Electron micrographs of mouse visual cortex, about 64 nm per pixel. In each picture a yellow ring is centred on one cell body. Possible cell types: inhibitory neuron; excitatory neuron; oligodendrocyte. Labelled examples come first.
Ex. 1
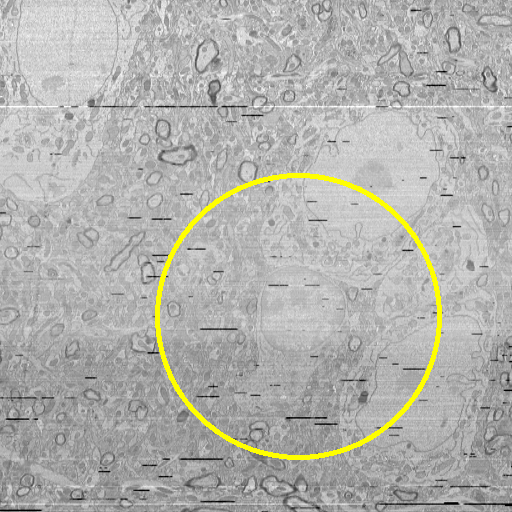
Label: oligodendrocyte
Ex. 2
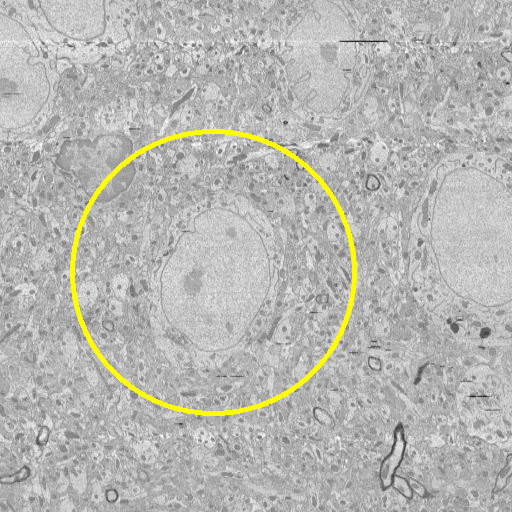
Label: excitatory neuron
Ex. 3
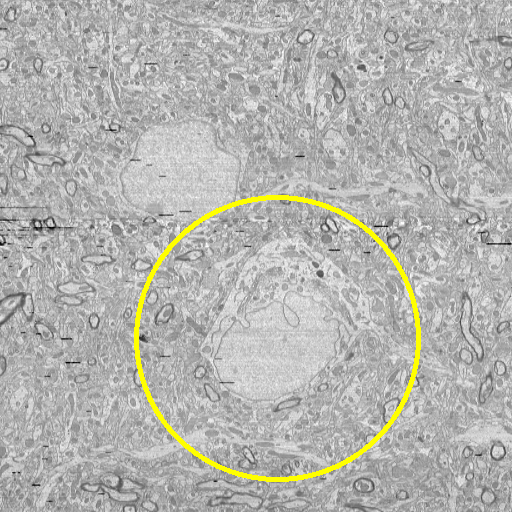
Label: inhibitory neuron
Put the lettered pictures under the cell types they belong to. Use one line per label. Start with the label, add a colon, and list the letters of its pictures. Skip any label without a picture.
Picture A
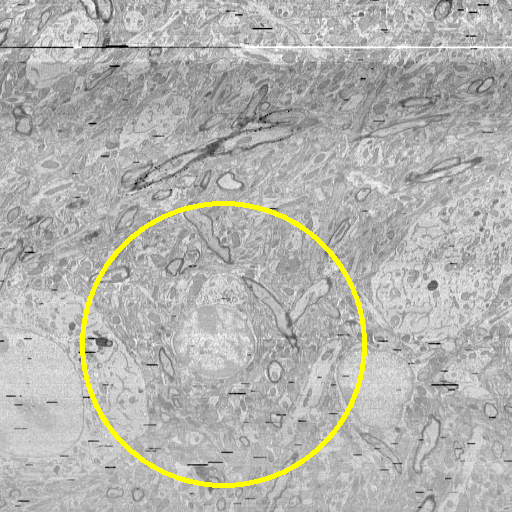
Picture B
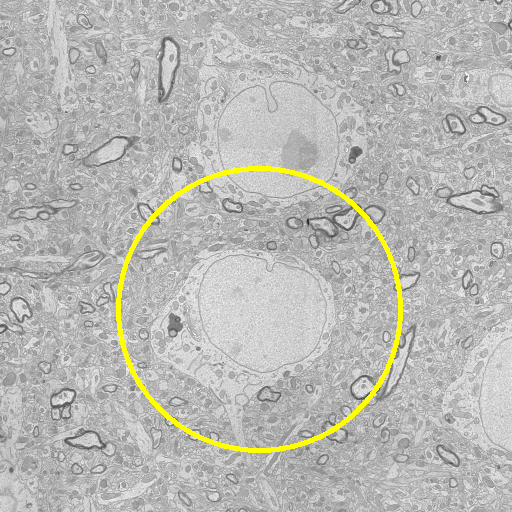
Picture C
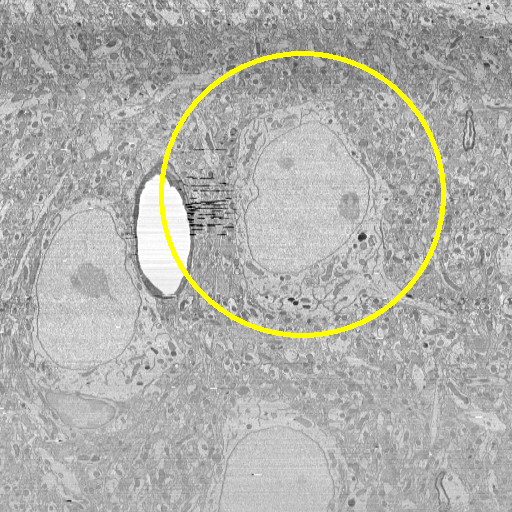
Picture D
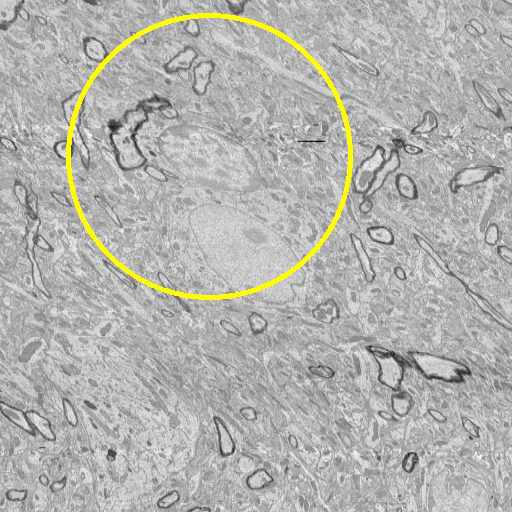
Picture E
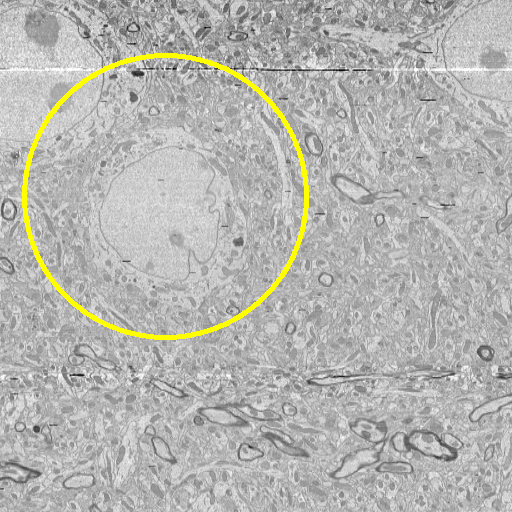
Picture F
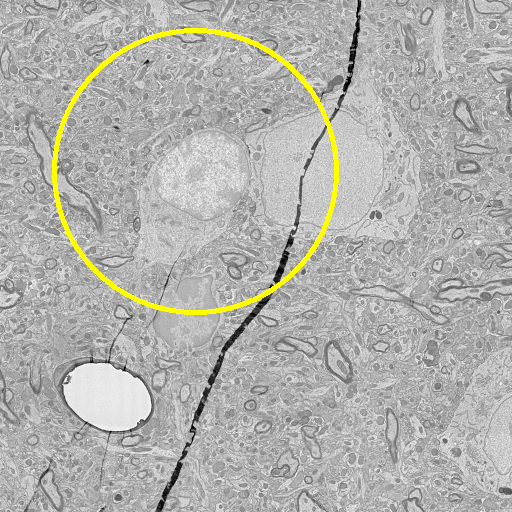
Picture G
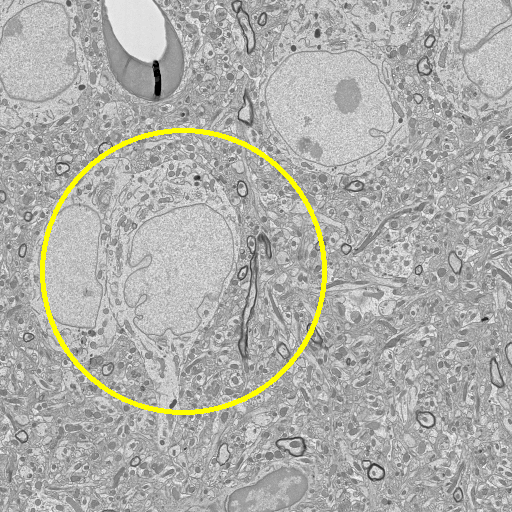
inhibitory neuron: G
excitatory neuron: B, C, E
oligodendrocyte: A, D, F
